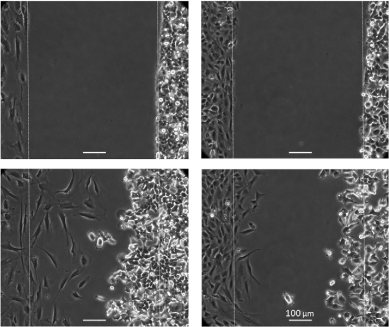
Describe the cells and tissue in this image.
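These are four phase-contrast fields of cultured cells, each with a band of cells on the left and another on the right, separated by a cell-free gap. In the lower left field, the cells on the left are sparse, elongated and spindle-shaped with long thin processes, while the cells on the right are dense, rounded to polygonal and bright-edged, and many of them have spread across the gap toward the spindle-shaped cells. In the lower right field, the rounded cells on the right stay mostly near their own edge, with only a few scattered cells in the wide empty gap.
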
